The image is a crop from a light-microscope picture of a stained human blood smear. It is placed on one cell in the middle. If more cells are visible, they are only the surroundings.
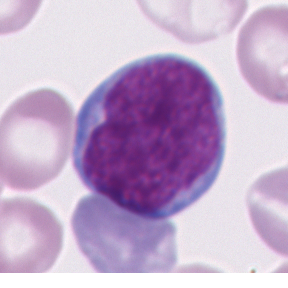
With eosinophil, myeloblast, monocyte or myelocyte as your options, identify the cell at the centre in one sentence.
The cell at the middle of the crop is recognized as a myeloblast.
